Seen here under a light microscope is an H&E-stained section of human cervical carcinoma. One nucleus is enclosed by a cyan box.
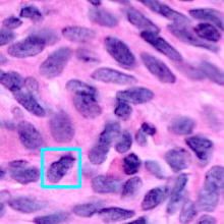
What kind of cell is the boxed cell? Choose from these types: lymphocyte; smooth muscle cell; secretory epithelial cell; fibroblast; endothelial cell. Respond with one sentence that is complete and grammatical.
Typologically, the boxed cell is a fibroblast in this section.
